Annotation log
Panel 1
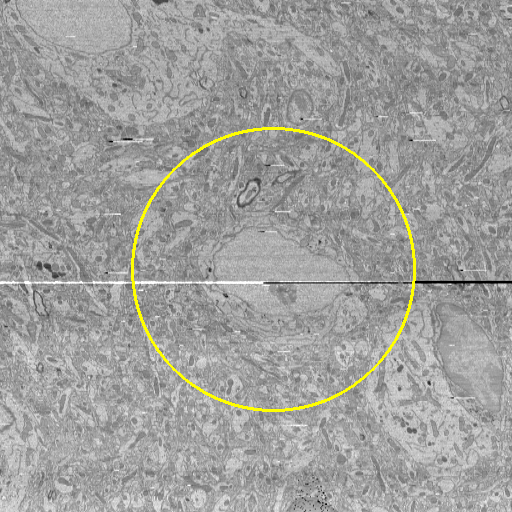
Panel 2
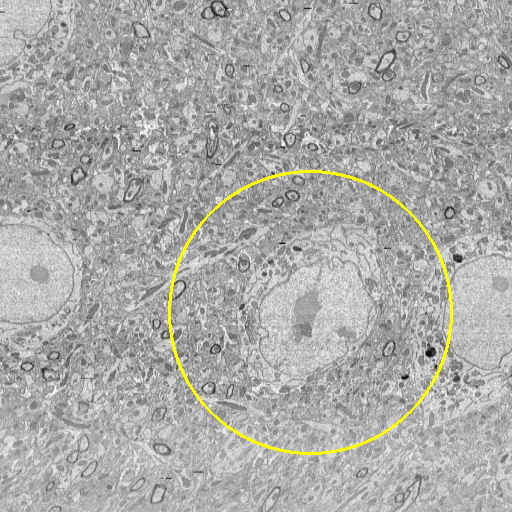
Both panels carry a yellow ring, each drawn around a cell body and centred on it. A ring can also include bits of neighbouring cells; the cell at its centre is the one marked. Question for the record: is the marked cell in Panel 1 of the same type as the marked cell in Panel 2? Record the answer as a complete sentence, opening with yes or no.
Yes, the marked cells in Panel 1 and Panel 2 are of the same type.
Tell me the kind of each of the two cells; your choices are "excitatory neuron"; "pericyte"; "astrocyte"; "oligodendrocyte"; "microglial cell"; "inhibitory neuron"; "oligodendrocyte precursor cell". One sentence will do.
Each of the two cells is an inhibitory neuron.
